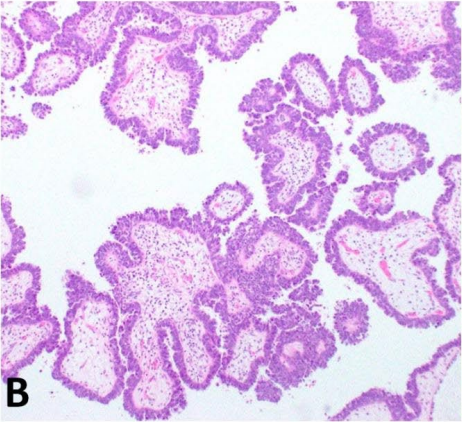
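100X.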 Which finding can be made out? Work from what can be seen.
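Finger-like fronds with fibrovascular cores project into an open space. Each frond is covered by a layer of epithelial cells.
Answer: papillary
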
